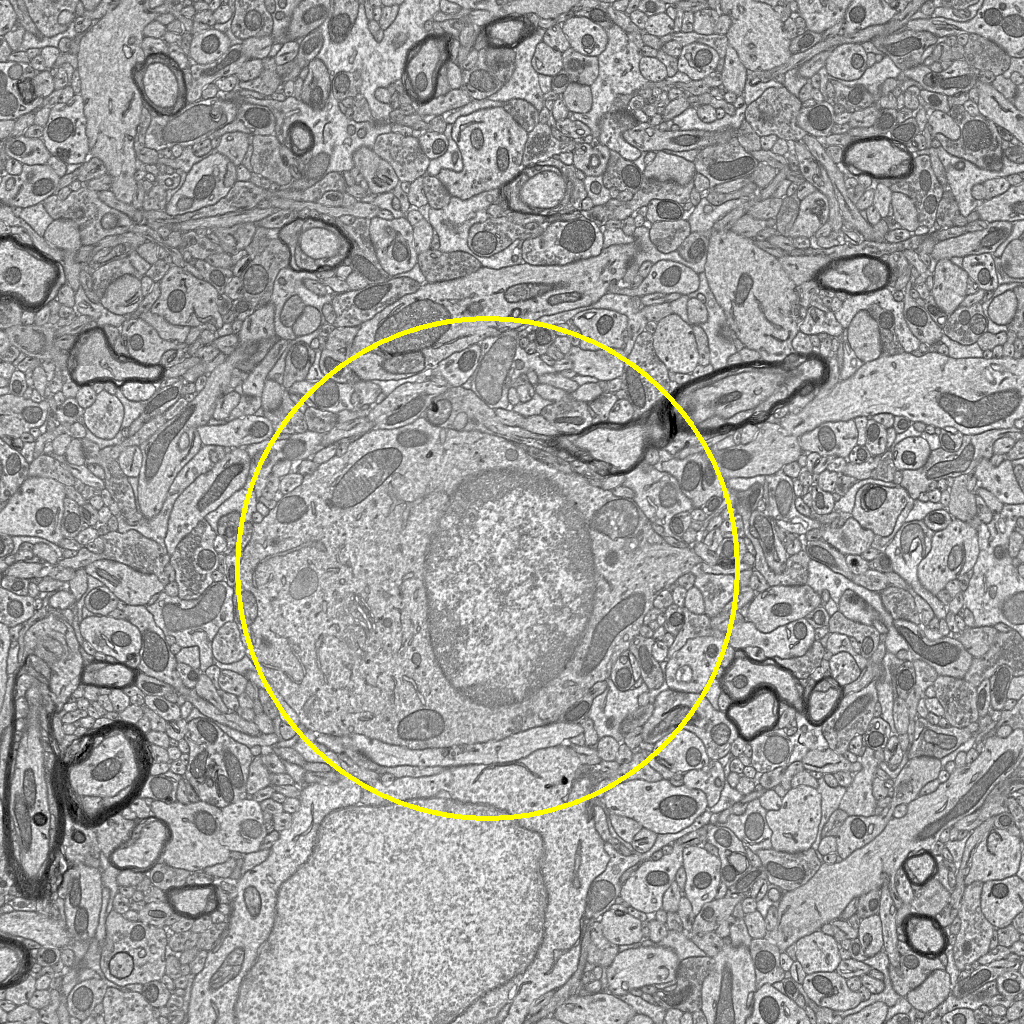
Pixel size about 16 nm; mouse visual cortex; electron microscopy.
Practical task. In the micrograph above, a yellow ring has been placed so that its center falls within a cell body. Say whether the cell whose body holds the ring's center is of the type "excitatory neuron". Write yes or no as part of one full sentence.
No, the cell whose body holds the ring's center above is of another type.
